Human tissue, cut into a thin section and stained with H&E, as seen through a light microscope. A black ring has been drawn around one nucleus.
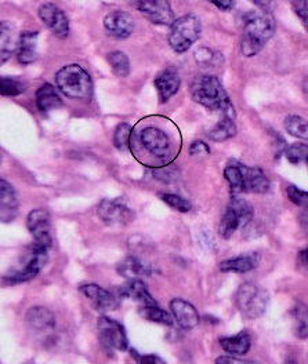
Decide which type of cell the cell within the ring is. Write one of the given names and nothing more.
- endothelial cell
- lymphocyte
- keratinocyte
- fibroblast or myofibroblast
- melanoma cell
melanoma cell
